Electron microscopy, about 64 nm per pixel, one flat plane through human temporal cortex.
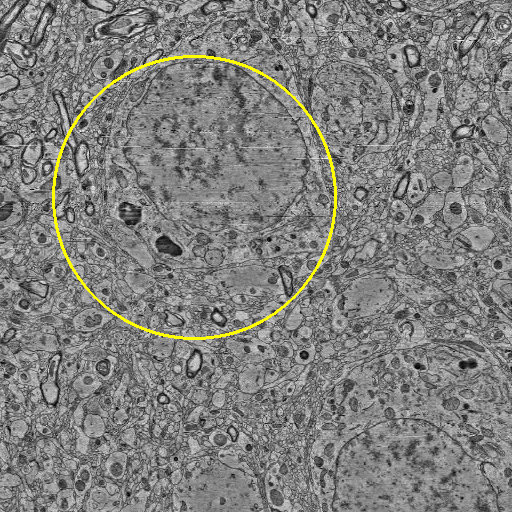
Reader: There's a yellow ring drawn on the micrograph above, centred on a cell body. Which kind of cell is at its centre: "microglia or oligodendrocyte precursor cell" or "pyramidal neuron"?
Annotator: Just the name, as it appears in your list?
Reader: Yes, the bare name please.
pyramidal neuron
